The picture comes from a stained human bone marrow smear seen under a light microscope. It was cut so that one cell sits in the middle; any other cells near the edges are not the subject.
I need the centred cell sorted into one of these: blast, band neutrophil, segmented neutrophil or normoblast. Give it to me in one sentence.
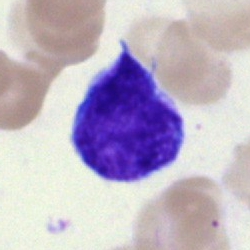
In the center of this field lies a blast.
